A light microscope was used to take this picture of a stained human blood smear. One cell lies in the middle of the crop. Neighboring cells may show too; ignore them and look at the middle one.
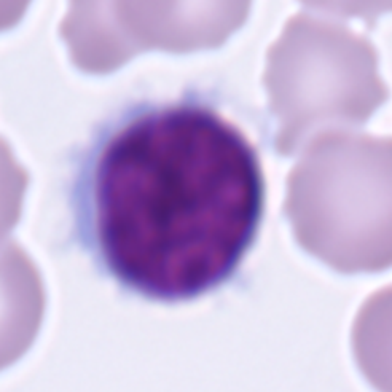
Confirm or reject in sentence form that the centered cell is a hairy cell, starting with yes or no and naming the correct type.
Yes, the cell found in the center of the crop is a hairy cell.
